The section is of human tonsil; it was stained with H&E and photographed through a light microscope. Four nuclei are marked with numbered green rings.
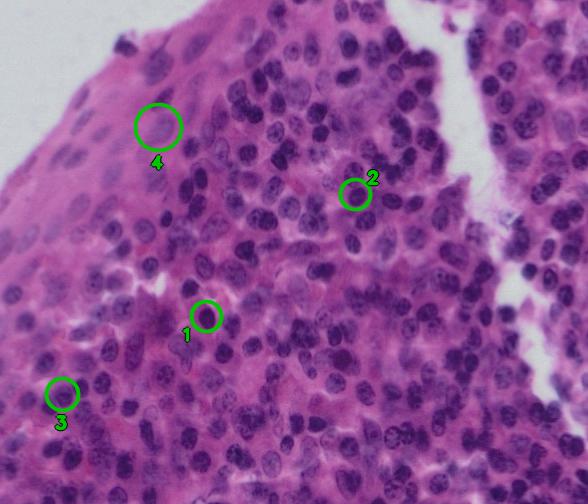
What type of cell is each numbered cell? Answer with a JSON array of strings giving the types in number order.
["plasma cell", "plasma cell", "plasma cell", "squamous epithelial cell"]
